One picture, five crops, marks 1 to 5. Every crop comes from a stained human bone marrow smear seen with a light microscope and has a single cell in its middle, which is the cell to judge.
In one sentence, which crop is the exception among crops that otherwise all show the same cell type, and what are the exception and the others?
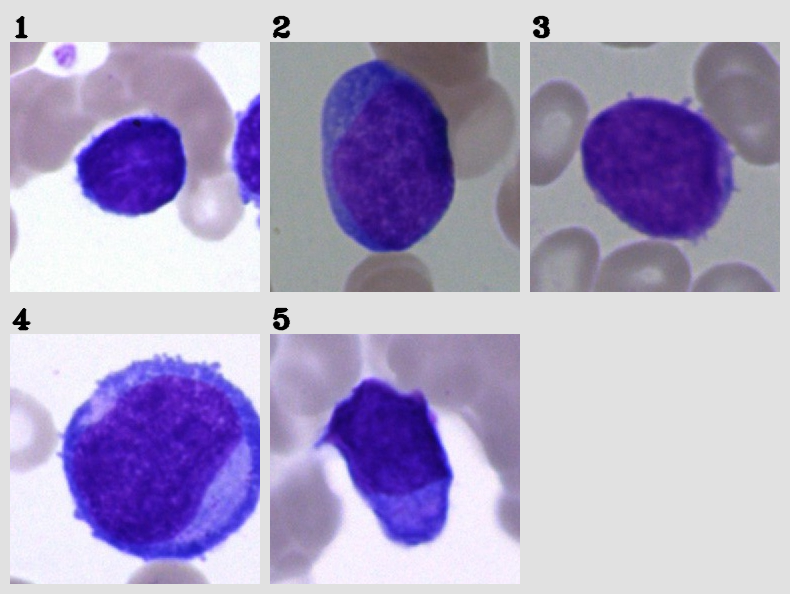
The remaining crops are all blasts, so crop 1, being a lymphocyte, is the exception.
